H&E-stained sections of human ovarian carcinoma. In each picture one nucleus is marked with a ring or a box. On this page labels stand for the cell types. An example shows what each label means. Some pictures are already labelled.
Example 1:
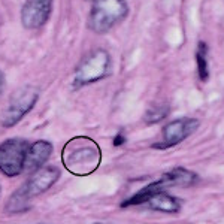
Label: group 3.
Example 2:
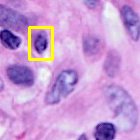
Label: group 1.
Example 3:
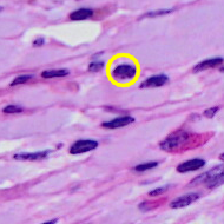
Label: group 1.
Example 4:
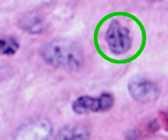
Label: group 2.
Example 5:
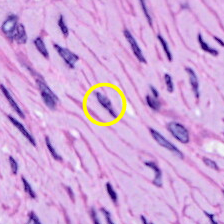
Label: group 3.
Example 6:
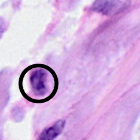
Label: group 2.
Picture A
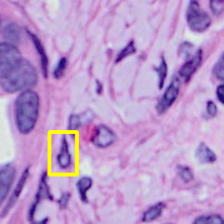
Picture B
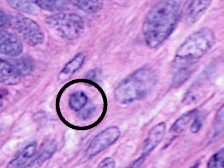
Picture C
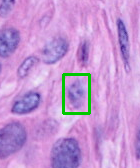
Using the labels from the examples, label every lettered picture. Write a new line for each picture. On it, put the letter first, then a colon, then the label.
A: group 3.
B: group 2.
C: group 3.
